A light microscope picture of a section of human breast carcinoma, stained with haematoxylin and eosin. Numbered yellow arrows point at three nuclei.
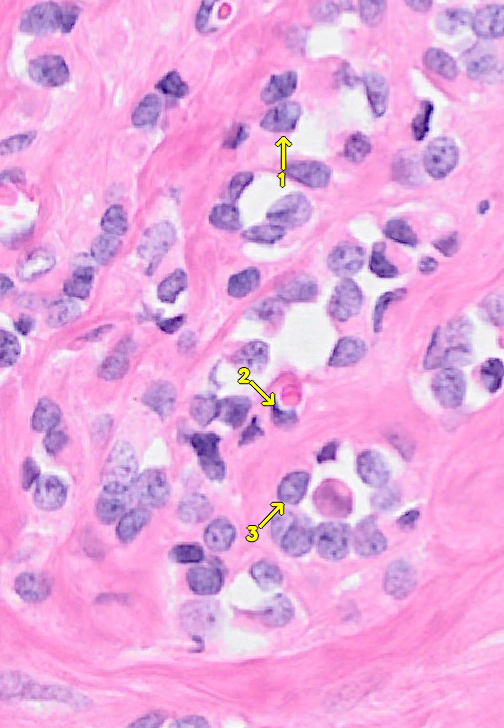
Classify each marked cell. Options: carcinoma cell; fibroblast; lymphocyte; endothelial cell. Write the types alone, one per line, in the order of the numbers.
carcinoma cell
endothelial cell
carcinoma cell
